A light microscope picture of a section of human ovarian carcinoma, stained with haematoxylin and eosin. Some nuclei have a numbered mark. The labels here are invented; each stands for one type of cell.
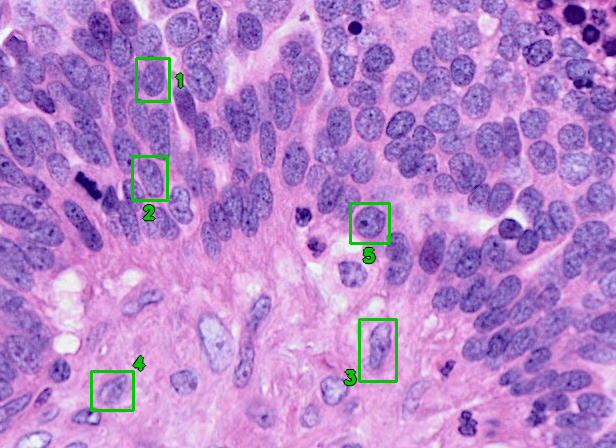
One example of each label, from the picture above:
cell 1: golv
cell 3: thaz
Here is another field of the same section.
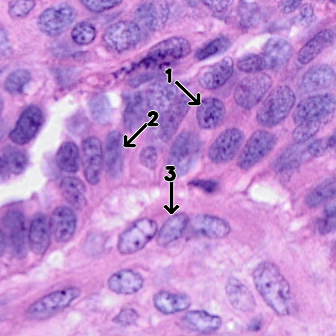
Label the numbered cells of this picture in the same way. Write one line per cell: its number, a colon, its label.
1: golv
2: golv
3: thaz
